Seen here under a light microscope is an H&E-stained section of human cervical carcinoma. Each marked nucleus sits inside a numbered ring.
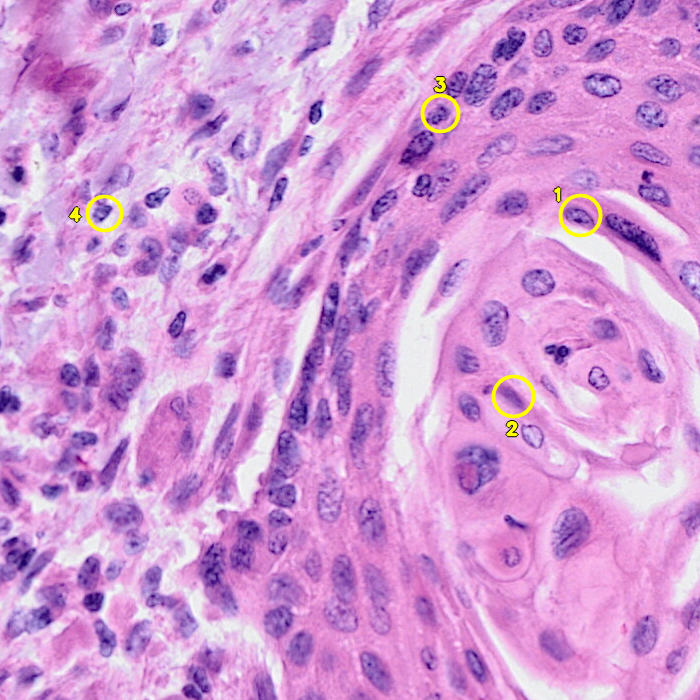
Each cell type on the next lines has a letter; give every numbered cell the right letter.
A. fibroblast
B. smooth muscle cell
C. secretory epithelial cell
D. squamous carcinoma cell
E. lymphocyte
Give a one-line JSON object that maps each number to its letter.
{"1": "D", "2": "D", "3": "D", "4": "E"}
